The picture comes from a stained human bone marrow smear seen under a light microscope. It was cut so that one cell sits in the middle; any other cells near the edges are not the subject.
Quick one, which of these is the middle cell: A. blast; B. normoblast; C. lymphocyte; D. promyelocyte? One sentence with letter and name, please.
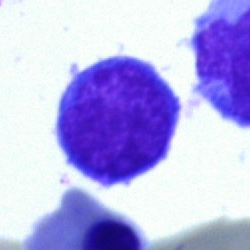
Identification: the cell in the middle is a blast, matching option A.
